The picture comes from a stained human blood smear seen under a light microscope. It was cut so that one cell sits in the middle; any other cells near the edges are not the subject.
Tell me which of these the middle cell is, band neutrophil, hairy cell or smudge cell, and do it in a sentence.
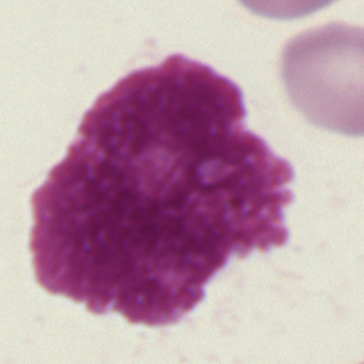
For this crop, the cell in the middle is a smudge cell.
